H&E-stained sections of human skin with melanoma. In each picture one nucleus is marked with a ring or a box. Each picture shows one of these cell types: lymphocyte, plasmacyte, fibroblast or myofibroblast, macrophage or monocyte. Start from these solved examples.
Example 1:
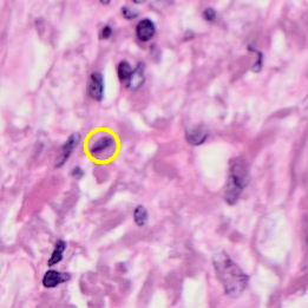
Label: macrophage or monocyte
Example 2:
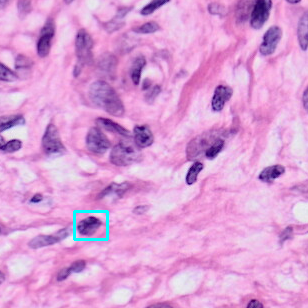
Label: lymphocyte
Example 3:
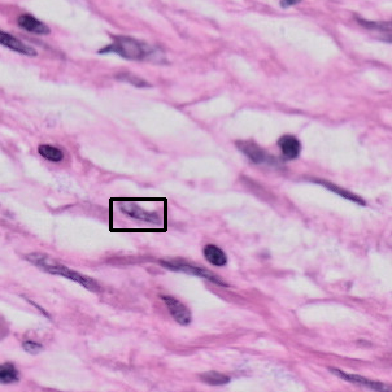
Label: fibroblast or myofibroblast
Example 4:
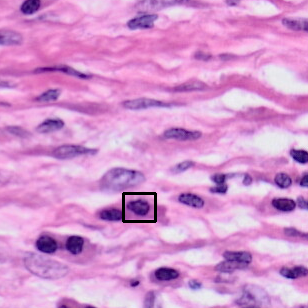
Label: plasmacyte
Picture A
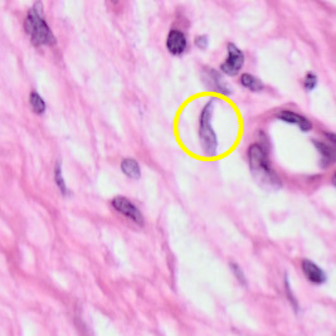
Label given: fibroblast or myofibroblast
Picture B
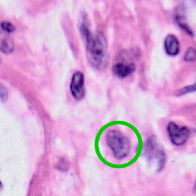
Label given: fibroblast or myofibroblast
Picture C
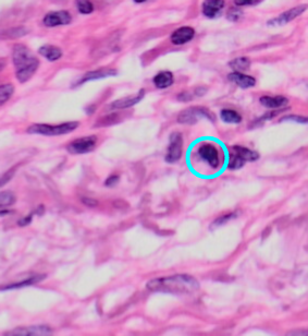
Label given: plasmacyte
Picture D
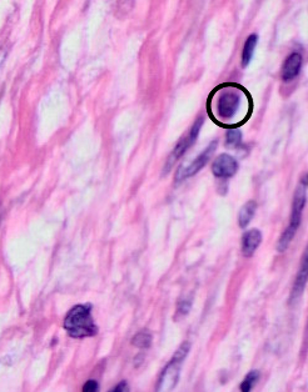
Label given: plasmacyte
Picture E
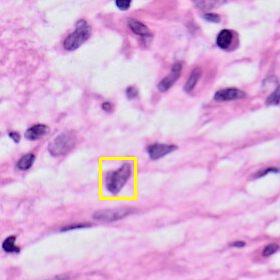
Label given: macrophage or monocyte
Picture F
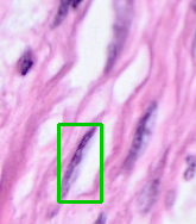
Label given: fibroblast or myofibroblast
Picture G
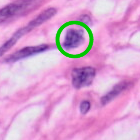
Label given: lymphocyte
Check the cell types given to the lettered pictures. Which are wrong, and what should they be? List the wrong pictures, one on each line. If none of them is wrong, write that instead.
B should be macrophage or monocyte, not fibroblast or myofibroblast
